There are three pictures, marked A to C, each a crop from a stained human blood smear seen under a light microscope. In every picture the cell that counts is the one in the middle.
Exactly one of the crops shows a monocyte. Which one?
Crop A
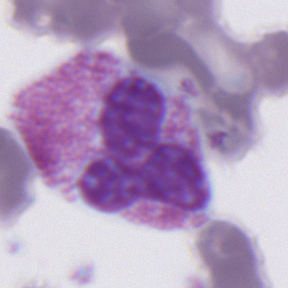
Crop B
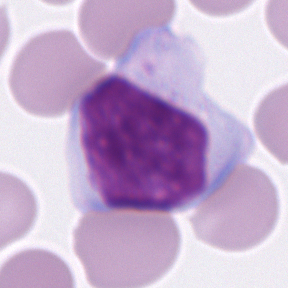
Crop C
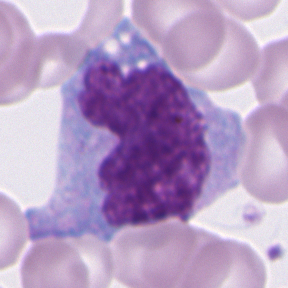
C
